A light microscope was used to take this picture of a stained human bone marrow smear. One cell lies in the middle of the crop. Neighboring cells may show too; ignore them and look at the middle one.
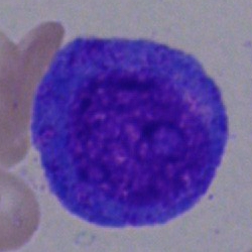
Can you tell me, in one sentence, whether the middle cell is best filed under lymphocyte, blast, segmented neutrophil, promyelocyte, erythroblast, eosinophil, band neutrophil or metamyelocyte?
The middle of this crop holds a promyelocyte.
